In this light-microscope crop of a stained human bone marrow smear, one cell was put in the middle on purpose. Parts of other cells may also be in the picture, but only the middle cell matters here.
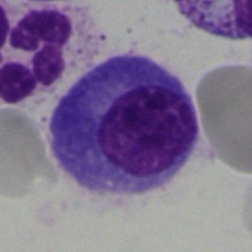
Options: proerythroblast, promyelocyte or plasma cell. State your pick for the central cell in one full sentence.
In this smear crop, the middle cell is a plasma cell.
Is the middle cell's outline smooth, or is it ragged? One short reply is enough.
From every side, the cell boundary is smooth and free of projections.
